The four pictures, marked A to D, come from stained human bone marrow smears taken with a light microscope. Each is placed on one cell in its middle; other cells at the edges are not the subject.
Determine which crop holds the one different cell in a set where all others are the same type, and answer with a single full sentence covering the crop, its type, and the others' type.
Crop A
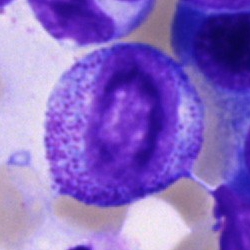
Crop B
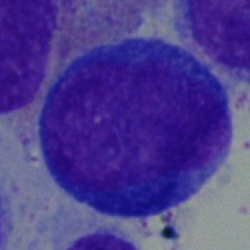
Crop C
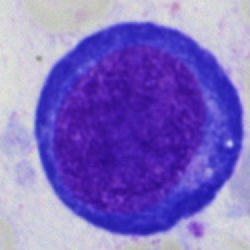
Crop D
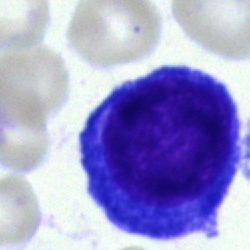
The crop that differs is crop A, showing a promyelocyte; the others show proerythroblasts.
